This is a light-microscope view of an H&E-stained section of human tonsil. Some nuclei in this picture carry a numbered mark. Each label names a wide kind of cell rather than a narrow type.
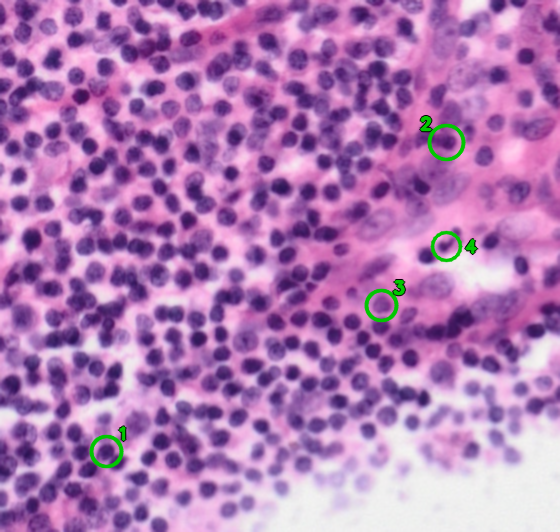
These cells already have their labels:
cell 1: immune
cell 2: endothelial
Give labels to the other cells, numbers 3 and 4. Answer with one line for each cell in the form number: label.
3: endothelial
4: endothelial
